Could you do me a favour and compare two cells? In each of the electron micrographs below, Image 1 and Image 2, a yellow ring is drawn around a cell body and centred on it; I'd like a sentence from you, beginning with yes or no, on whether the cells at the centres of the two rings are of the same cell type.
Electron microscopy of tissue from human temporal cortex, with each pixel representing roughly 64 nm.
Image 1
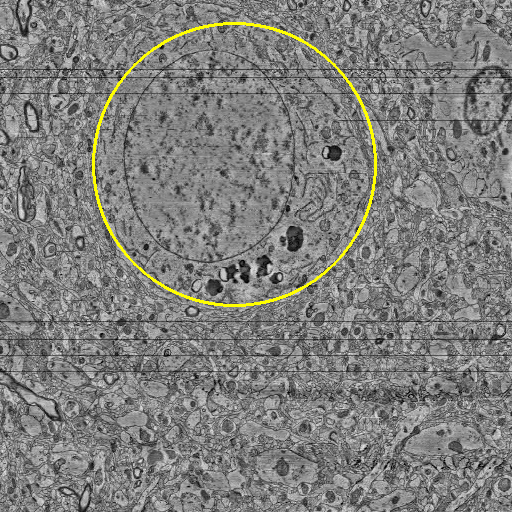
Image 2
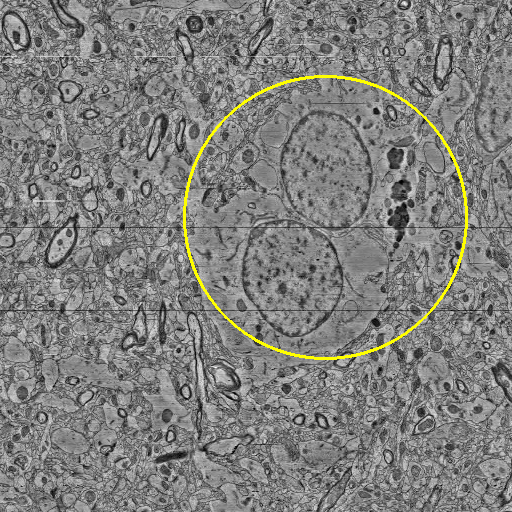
No, the two cells are of two cell types.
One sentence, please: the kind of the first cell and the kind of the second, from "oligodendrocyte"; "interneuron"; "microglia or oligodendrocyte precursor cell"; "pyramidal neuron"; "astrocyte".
The ring in the first picture surrounds a pyramidal neuron, and the ring in the second surrounds an astrocyte.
